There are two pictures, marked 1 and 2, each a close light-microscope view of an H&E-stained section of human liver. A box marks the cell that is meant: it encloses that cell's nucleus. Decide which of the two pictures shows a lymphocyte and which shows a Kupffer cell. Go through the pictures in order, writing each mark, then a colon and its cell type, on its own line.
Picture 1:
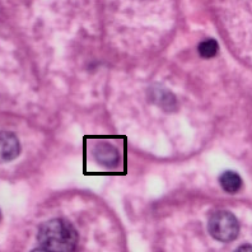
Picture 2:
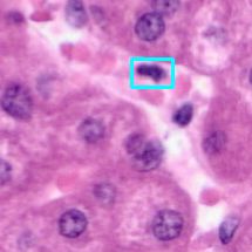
1: Kupffer cell
2: lymphocyte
